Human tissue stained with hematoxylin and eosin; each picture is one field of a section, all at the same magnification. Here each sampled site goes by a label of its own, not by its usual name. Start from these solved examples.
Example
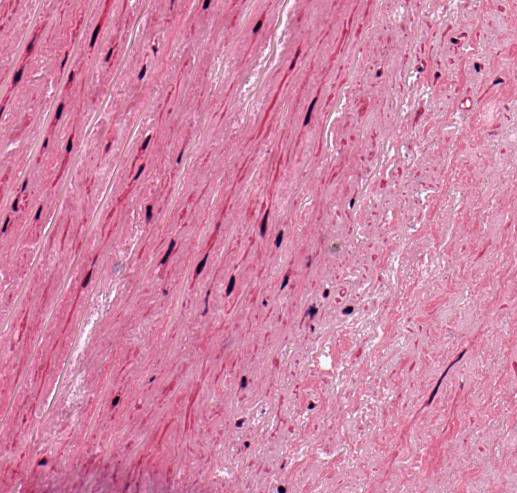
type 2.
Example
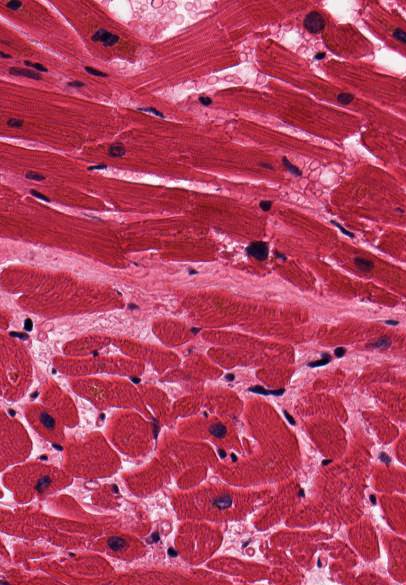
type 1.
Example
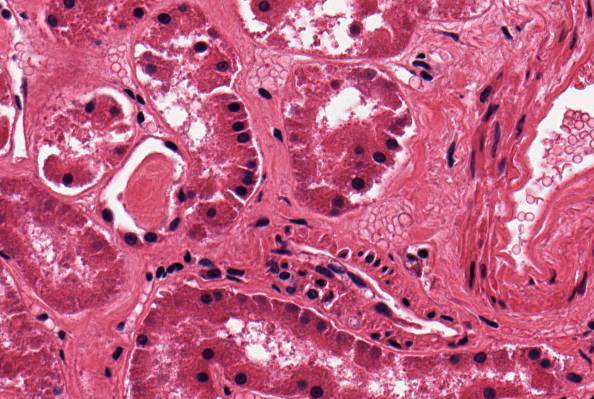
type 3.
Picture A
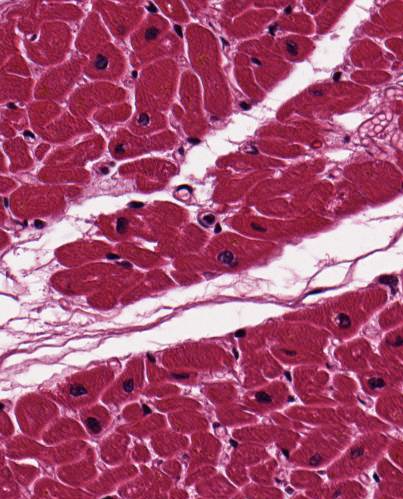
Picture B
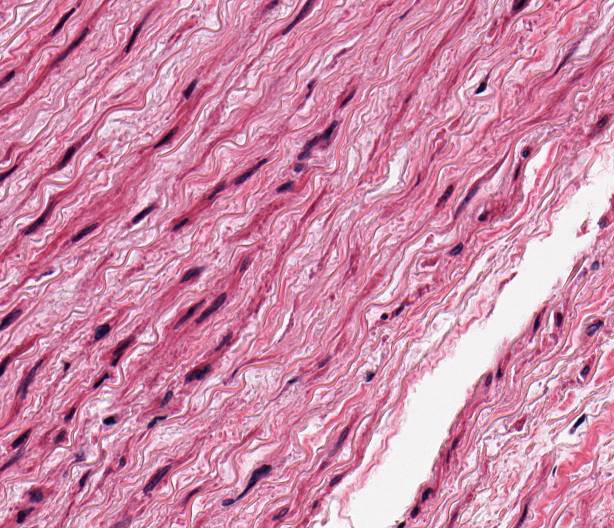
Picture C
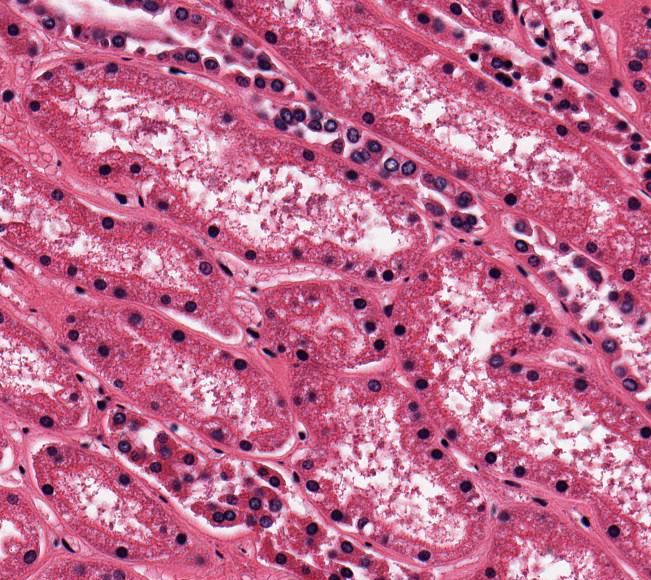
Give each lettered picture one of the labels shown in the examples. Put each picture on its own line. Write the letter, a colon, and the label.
A: type 1.
B: type 2.
C: type 3.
